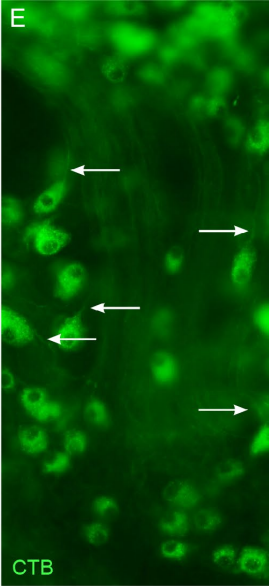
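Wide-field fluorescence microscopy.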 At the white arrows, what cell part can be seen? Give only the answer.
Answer: proximal axons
